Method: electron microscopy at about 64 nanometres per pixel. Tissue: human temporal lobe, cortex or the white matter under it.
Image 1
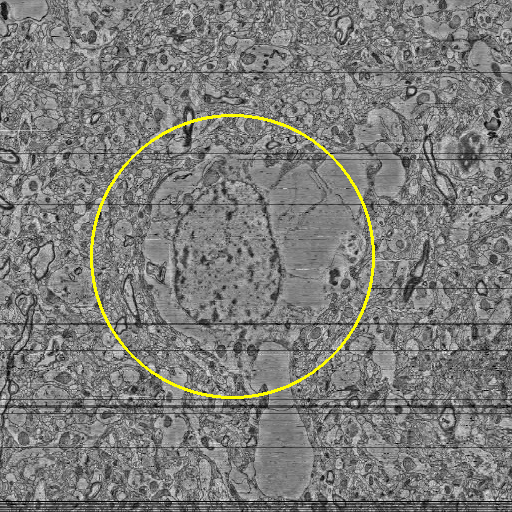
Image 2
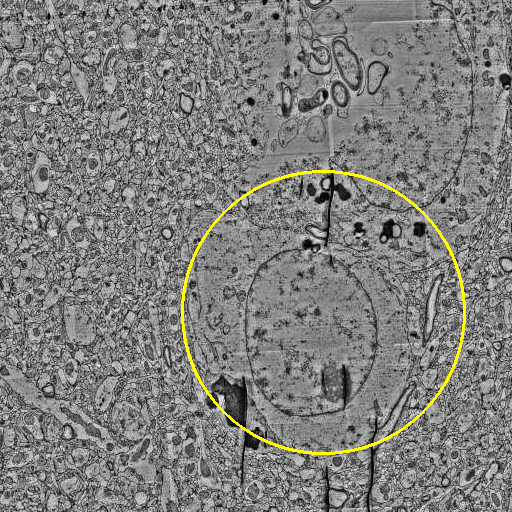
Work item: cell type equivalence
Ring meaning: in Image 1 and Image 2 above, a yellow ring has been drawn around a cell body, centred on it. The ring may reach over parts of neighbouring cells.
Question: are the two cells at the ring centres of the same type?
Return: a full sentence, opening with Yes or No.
No, the two centred cells are of two types.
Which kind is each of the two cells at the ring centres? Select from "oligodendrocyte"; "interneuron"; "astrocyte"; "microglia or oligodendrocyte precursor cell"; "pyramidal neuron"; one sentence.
The cell at the centre of the ring is an astrocyte in the first picture and a pyramidal neuron in the second.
